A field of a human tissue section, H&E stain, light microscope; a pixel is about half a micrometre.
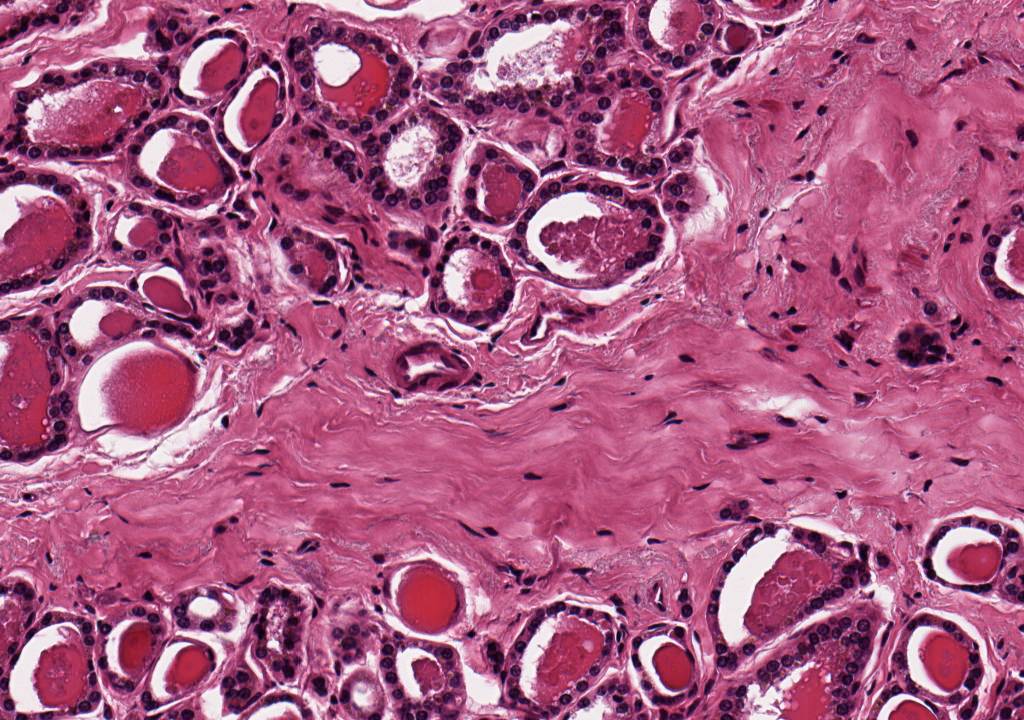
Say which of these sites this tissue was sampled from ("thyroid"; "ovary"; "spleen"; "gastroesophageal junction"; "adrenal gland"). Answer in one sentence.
The site this tissue was sampled from is the thyroid.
